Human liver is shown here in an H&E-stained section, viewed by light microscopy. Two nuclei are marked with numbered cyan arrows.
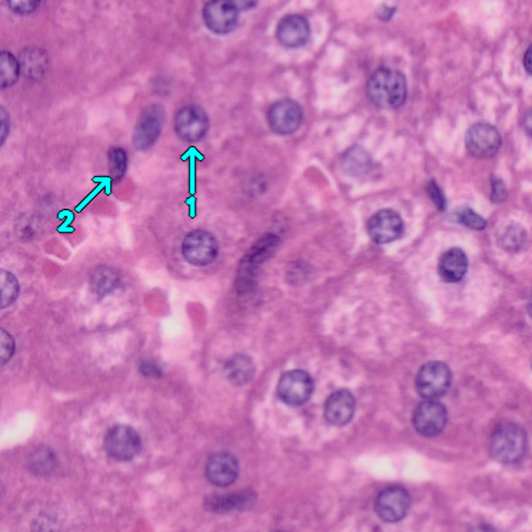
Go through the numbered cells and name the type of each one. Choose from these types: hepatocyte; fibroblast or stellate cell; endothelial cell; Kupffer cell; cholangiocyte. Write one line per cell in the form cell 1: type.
cell 1: hepatocyte
cell 2: fibroblast or stellate cell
